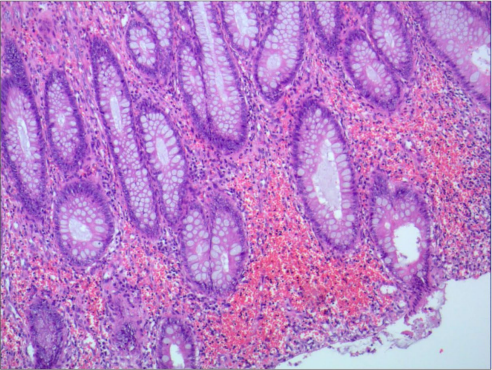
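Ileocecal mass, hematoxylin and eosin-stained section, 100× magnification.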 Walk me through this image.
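This is an intestinal-type mucosa with crypts lined by intestinal epithelium. The crypts are elongated and tubular, each lined by a single layer of tall columnar cells with small dark purple basal nuclei and many pale, clear mucin-filled goblet cells around a narrow lumen. Between the crypts lies a stroma crowded with small dark nuclei, and in the lower right part it is filled with many bright red blood cells.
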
